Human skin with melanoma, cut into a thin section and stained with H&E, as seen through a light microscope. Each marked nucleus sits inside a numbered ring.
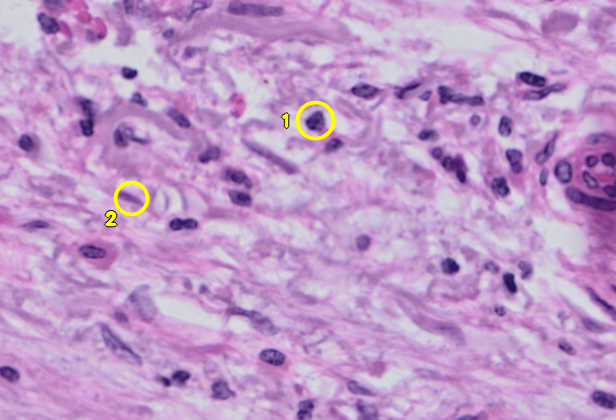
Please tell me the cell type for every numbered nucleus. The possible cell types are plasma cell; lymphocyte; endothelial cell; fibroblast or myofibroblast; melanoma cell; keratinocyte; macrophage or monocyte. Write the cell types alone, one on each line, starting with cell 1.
lymphocyte
fibroblast or myofibroblast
